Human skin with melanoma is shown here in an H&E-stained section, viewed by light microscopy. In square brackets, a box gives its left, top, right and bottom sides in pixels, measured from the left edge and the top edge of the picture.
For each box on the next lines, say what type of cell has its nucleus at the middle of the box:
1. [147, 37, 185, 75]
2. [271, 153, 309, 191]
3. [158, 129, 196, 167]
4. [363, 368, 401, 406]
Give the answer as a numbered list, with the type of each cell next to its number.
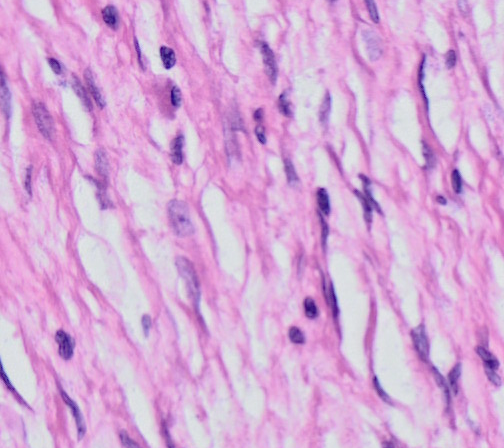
1. lymphocyte
2. fibroblast or myofibroblast
3. macrophage or monocyte
4. fibroblast or myofibroblast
